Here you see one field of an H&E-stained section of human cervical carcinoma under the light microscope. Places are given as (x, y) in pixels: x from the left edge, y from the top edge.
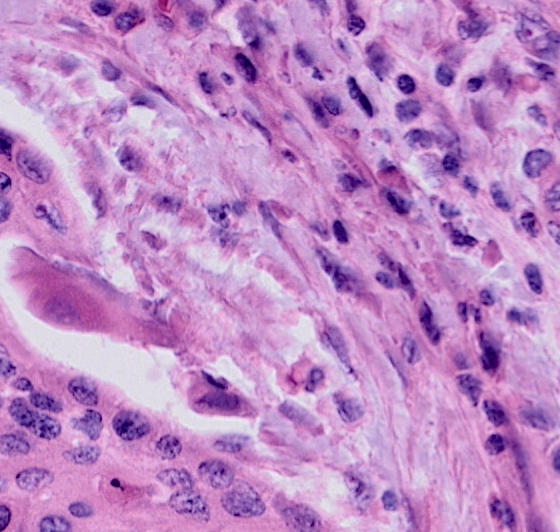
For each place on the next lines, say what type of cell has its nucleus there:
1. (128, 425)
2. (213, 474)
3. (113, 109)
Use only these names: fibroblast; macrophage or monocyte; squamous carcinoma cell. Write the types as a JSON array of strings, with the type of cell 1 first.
["squamous carcinoma cell", "squamous carcinoma cell", "fibroblast"]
